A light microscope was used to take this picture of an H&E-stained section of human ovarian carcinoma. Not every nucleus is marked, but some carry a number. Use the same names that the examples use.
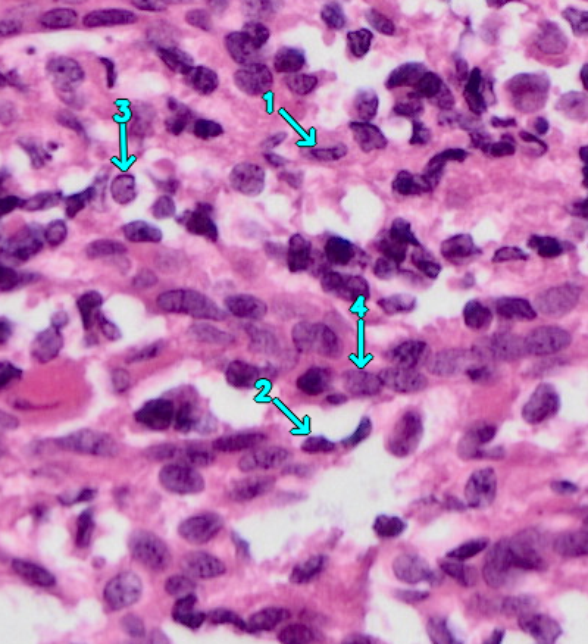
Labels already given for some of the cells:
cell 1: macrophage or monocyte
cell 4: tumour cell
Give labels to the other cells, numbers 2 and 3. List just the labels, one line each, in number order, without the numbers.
tumour cell
macrophage or monocyte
